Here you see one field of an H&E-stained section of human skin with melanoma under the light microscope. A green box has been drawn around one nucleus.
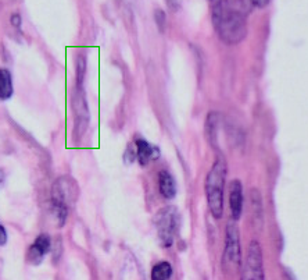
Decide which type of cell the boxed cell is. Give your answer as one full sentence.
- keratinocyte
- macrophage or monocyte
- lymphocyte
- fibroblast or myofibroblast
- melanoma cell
Placed in its cell category, the boxed cell is a fibroblast or myofibroblast.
